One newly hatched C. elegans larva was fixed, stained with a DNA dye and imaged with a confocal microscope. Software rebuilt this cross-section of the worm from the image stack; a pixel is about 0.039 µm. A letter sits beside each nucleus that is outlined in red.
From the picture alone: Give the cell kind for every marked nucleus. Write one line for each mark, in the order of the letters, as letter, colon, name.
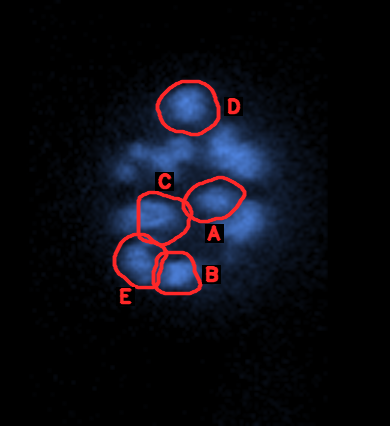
A: pharyngeal muscle cell
B: glial cell (sheath or socket)
C: pharyngeal muscle cell
D: hypodermal cell (hyp)
E: body wall muscle cell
